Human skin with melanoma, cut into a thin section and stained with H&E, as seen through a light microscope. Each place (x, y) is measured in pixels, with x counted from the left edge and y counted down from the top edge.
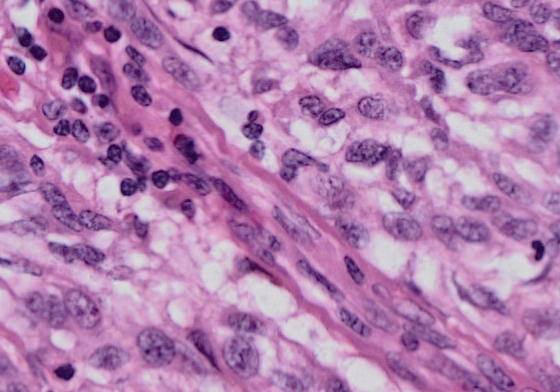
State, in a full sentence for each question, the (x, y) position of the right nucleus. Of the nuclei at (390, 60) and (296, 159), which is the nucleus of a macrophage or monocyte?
The nucleus of a macrophage or monocyte lies at (296, 159), not at the other position.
